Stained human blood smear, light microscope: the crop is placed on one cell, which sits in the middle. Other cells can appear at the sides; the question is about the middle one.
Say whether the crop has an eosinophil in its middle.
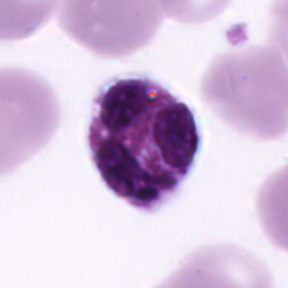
yes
